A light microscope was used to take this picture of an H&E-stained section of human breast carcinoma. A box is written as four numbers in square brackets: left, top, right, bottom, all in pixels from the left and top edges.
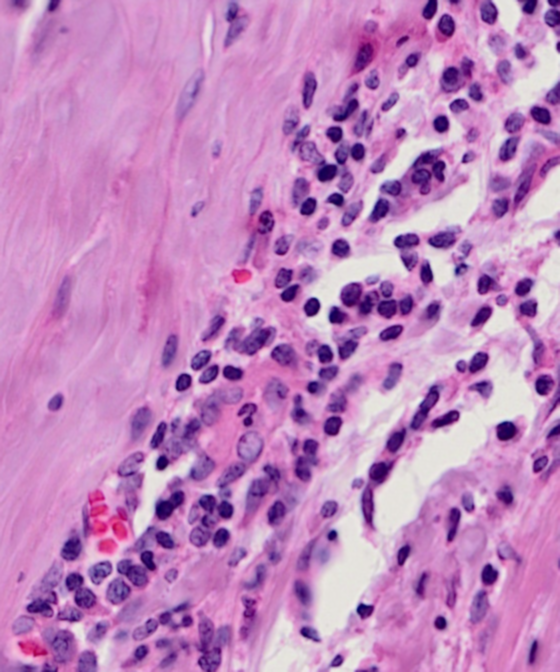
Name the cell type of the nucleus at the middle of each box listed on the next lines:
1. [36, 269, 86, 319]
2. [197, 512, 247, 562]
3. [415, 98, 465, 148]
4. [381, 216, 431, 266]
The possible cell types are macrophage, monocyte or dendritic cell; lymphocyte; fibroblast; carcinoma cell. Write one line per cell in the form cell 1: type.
cell 1: fibroblast
cell 2: lymphocyte
cell 3: lymphocyte
cell 4: lymphocyte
